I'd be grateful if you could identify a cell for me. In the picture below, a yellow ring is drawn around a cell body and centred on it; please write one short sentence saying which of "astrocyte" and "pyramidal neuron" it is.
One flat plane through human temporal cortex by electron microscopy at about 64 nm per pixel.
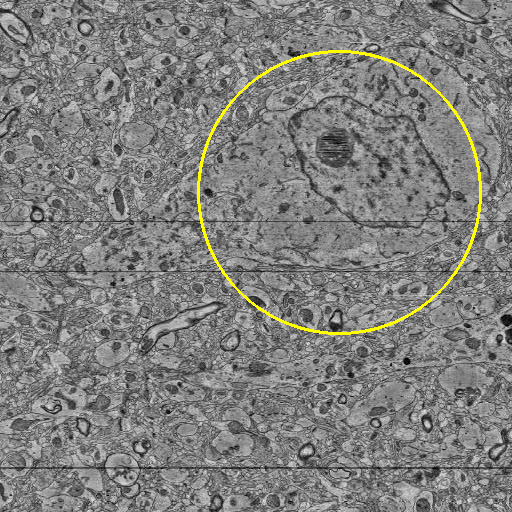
The cell under the ring's centre is a pyramidal neuron.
